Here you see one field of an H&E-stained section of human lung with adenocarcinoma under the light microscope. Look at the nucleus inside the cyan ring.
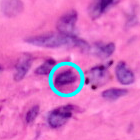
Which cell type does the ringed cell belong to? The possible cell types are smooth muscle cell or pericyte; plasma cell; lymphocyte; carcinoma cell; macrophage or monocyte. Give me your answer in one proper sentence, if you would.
Placed in its cell category, the ringed cell is a plasma cell.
